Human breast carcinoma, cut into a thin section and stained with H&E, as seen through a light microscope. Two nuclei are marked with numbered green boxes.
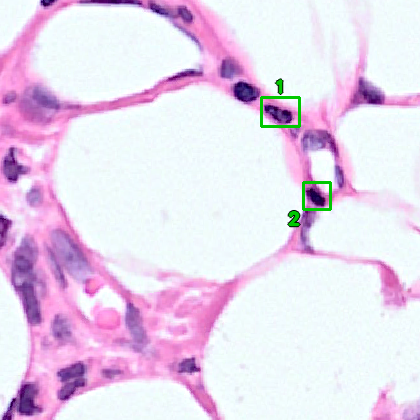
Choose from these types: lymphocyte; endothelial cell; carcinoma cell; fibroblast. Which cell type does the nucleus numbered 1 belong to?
lymphocyte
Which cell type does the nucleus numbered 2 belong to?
endothelial cell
